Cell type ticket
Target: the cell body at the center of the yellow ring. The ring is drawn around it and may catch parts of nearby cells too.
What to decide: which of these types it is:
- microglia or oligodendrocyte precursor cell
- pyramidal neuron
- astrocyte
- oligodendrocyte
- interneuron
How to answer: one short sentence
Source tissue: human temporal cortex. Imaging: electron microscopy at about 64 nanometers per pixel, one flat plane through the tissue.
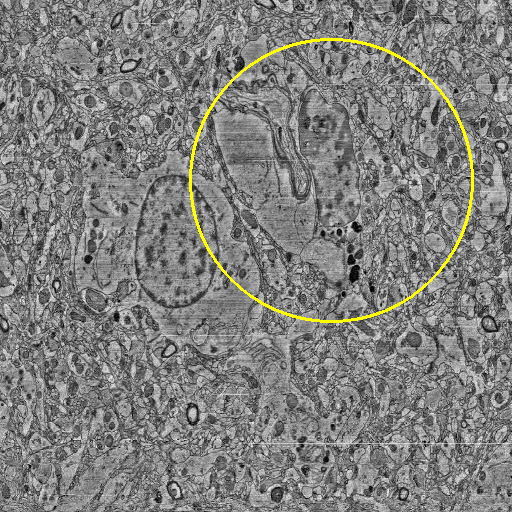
The cell at the center of the ring is a microglial cell or oligodendrocyte precursor cell.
